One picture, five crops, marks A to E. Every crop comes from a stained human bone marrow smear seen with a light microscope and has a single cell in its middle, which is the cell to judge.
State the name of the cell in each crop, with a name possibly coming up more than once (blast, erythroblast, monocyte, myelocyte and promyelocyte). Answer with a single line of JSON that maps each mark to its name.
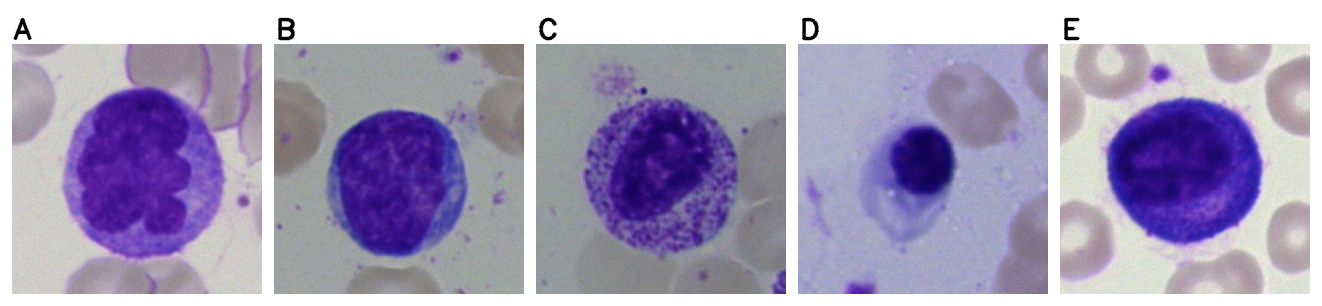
{"A": "monocyte", "B": "blast", "C": "myelocyte", "D": "erythroblast", "E": "promyelocyte"}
